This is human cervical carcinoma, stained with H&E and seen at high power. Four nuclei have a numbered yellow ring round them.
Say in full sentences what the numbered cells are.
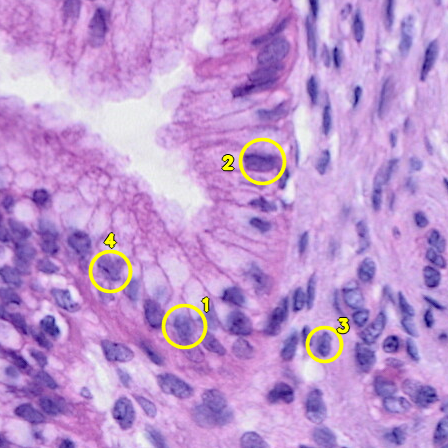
Cells 1, 2 and 4 are secretory epithelial cells. Cell 3 is a fibroblast.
